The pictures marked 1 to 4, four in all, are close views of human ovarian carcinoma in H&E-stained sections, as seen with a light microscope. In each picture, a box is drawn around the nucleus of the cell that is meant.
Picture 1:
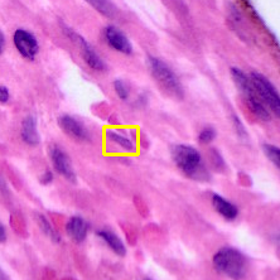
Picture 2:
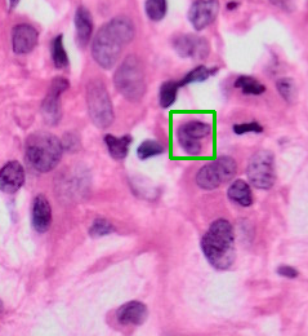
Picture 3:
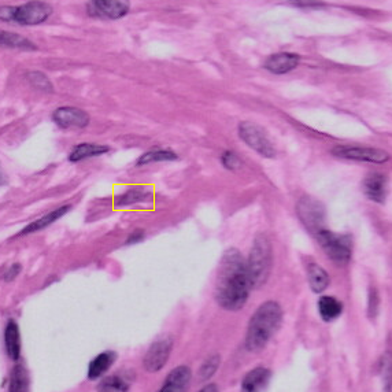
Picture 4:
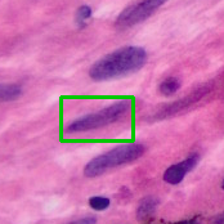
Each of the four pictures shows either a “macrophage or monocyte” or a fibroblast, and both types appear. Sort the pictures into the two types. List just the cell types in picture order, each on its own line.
fibroblast
macrophage or monocyte
fibroblast
fibroblast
